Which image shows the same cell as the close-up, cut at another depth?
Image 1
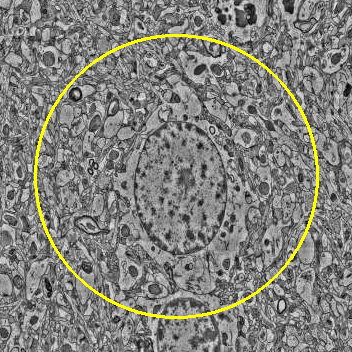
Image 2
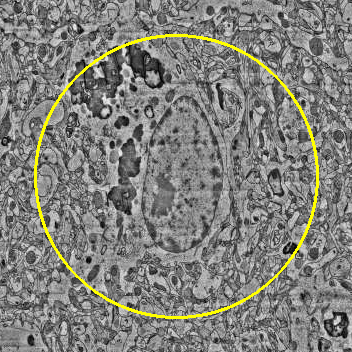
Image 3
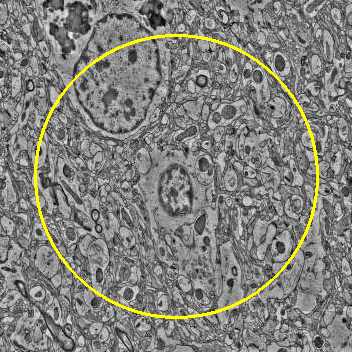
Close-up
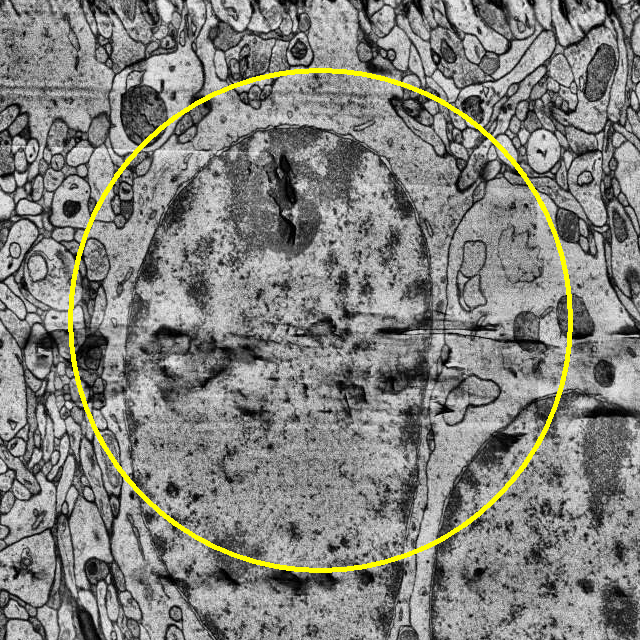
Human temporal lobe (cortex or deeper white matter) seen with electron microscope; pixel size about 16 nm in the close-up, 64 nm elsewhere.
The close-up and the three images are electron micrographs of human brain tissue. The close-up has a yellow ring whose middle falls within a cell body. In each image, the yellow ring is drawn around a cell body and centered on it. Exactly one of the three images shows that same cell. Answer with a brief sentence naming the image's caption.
The enlargement corresponds to the cell circled in Image 3.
